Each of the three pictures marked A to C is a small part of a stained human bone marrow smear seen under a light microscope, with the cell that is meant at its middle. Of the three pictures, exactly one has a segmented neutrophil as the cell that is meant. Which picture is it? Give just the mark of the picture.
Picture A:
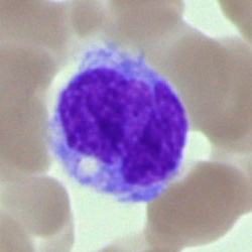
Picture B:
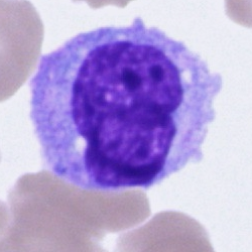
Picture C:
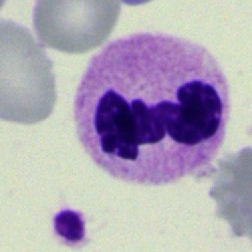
C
